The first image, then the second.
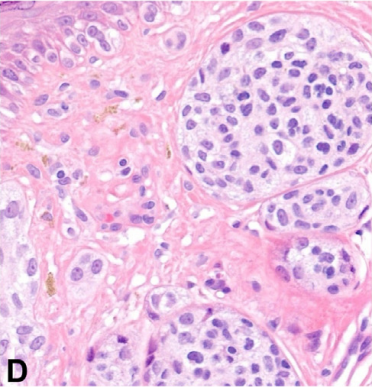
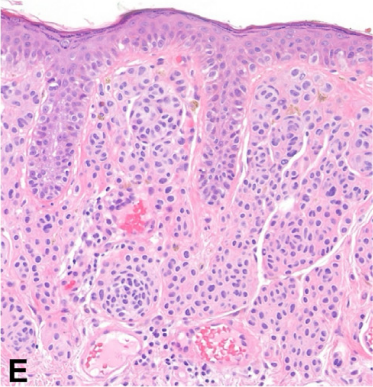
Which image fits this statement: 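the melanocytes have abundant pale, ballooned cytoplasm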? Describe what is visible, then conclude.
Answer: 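First image: nest cells are large with wide, pale, clear cytoplasm. On this evidence: the first image.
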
